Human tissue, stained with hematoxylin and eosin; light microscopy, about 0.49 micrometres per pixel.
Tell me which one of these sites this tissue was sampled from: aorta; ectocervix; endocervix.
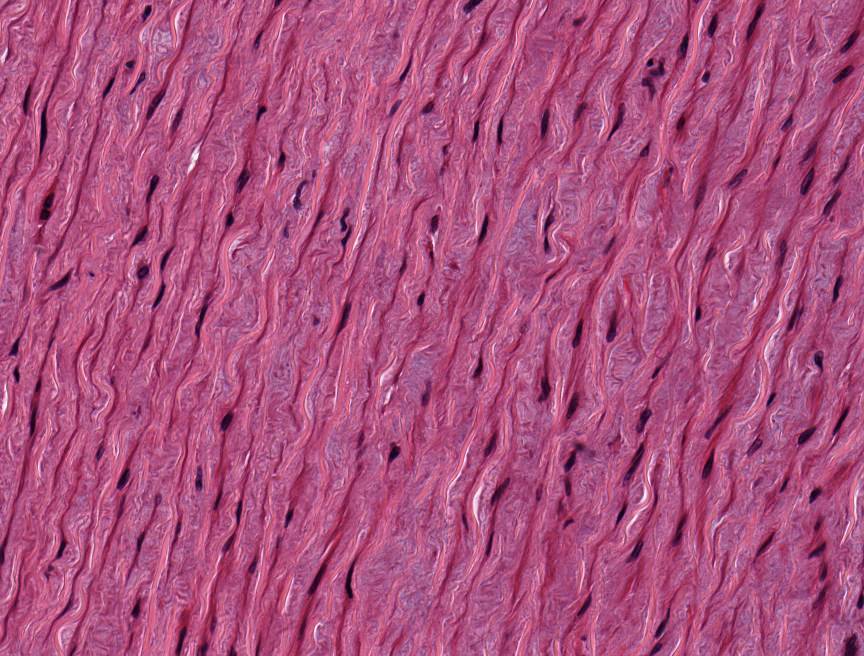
aorta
